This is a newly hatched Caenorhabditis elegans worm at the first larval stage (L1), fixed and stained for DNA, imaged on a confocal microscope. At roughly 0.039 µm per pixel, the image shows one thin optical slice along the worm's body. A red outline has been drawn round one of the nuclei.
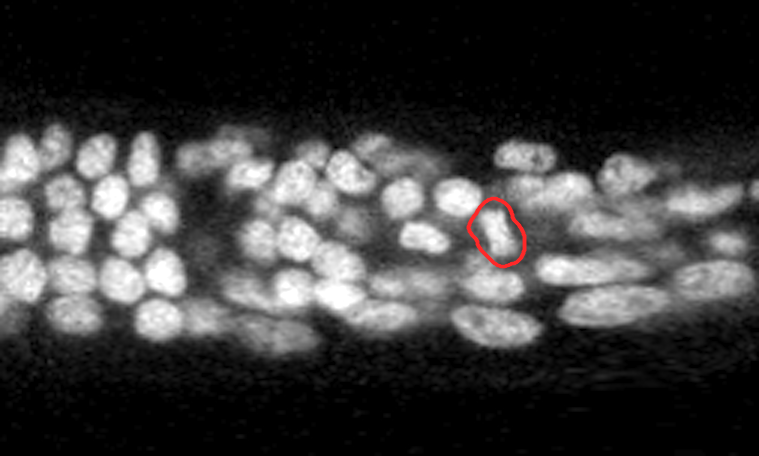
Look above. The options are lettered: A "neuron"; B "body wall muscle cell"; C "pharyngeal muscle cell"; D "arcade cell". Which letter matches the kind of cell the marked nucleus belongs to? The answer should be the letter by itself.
C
